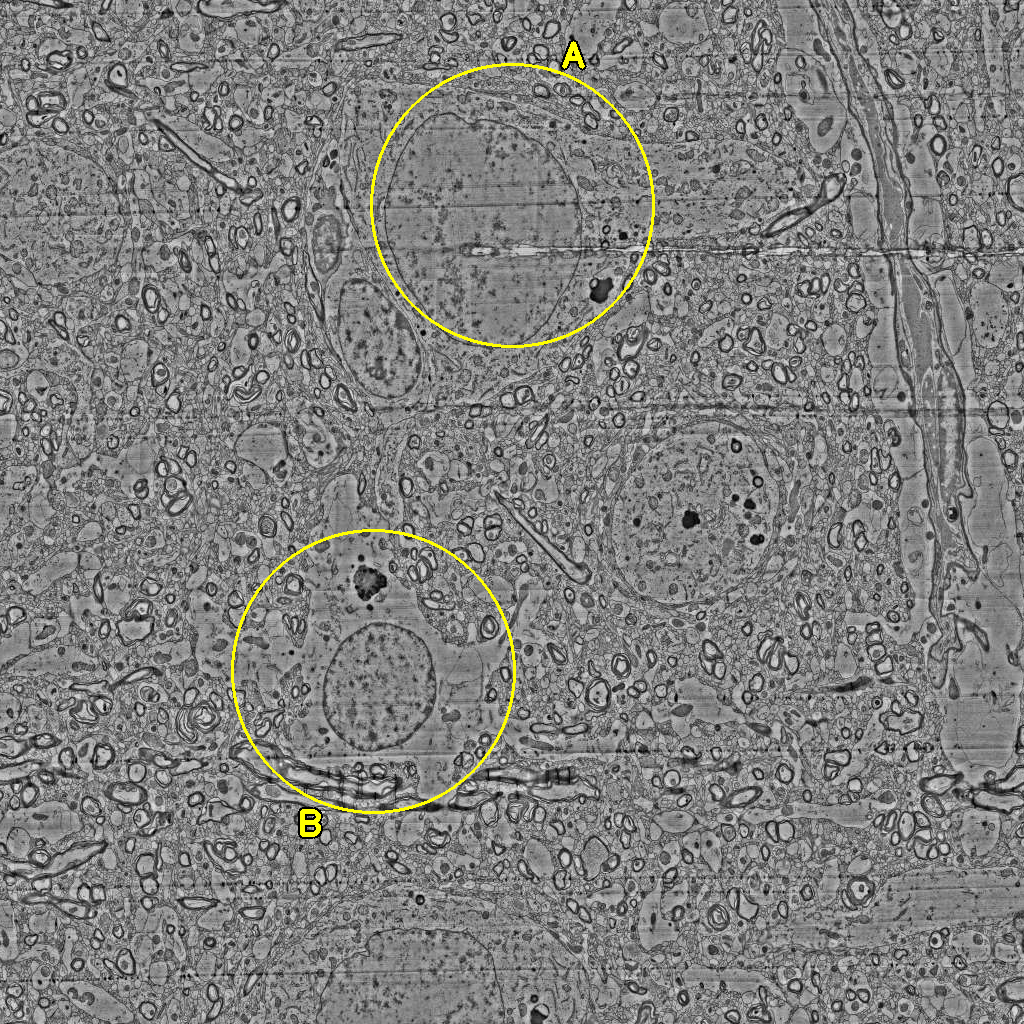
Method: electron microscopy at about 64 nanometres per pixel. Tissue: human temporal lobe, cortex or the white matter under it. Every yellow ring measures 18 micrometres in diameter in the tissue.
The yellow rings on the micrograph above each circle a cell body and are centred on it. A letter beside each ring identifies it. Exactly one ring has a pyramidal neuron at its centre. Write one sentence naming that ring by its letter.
Ring A is the one.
